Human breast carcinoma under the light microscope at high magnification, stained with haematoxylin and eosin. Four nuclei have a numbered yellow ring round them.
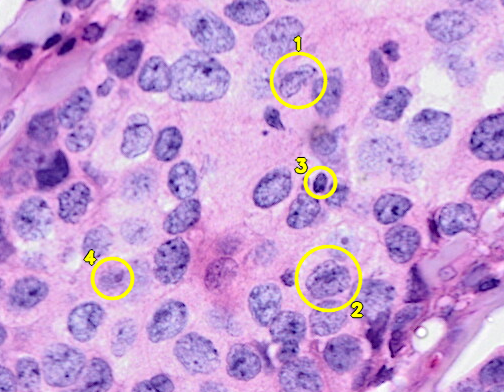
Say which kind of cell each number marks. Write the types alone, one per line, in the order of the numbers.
carcinoma cell
carcinoma cell
lymphocyte
carcinoma cell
